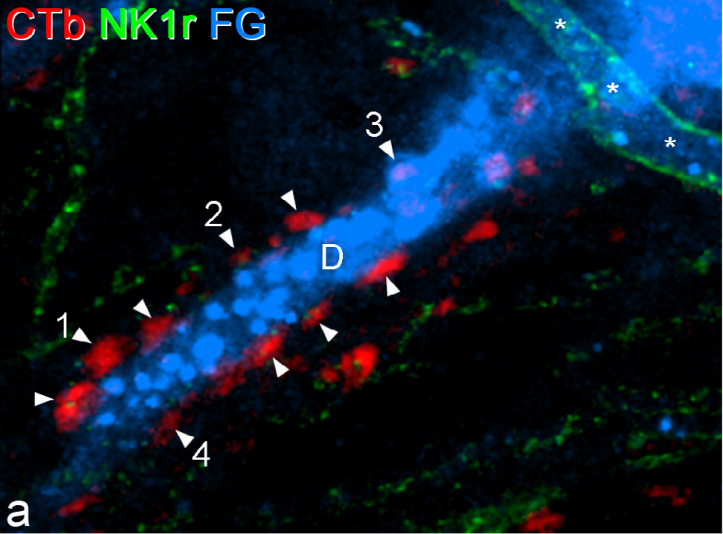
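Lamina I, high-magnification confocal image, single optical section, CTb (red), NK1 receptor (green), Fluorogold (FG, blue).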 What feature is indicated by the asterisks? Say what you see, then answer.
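The asterisks lie within a blue process in the top right corner. The process is outlined by a green rim. That points to this answer: dendrite.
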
